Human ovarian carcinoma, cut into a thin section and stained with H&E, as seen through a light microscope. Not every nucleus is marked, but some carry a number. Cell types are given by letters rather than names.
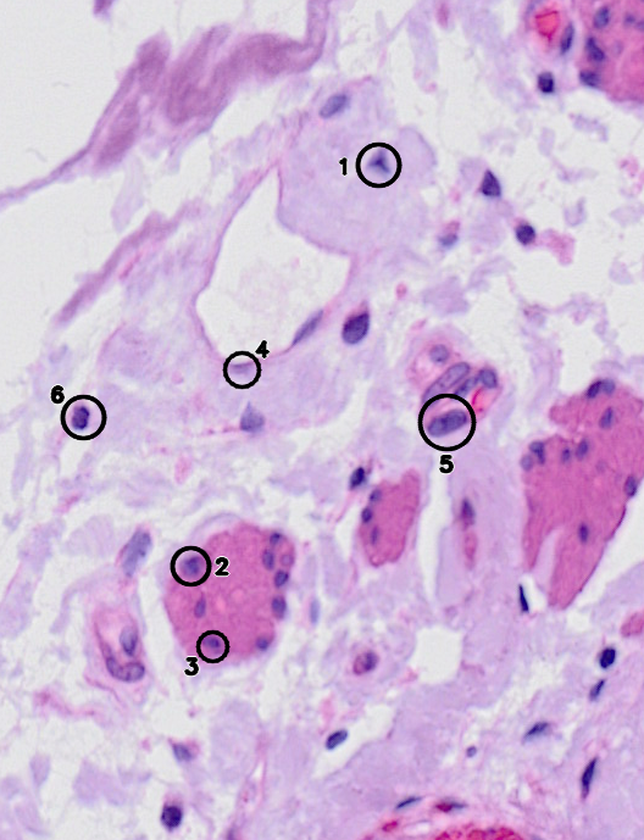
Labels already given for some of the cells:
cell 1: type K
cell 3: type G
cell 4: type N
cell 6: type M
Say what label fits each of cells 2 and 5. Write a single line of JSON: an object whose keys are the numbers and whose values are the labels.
{"2": "type G", "5": "type N"}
